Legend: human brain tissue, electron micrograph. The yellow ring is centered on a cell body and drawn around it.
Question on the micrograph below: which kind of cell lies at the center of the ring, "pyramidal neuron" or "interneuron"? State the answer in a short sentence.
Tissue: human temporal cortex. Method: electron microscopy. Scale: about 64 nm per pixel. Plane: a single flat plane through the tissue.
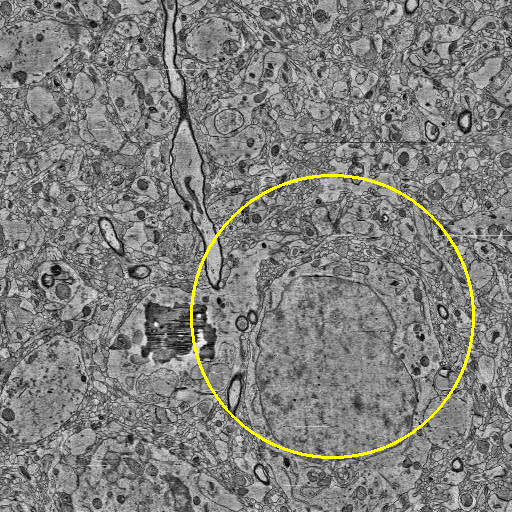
At the center of the ring lies an interneuron.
